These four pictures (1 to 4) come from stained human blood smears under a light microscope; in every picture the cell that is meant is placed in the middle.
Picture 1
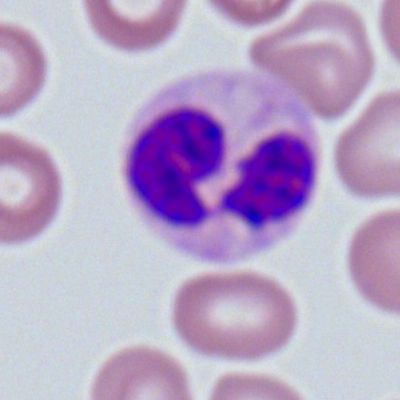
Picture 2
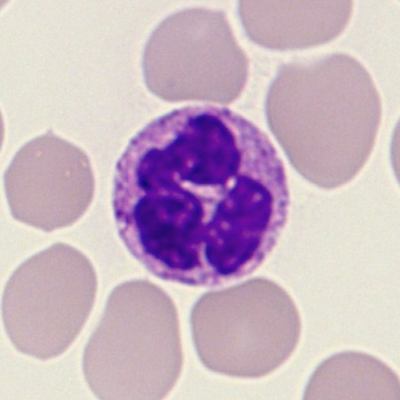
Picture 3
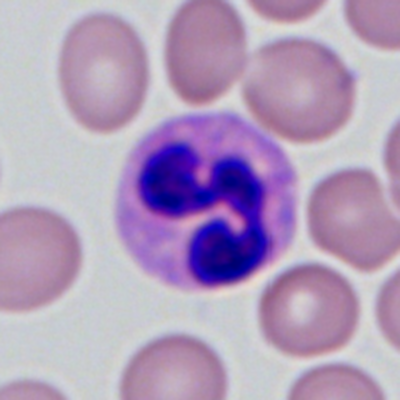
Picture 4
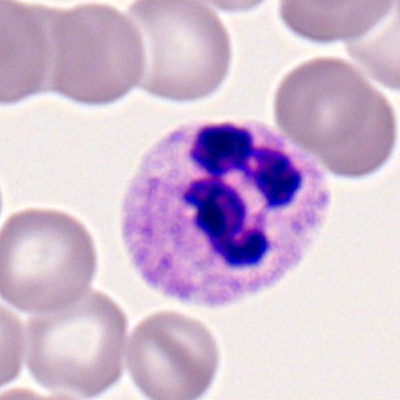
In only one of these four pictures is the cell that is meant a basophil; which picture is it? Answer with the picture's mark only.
2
